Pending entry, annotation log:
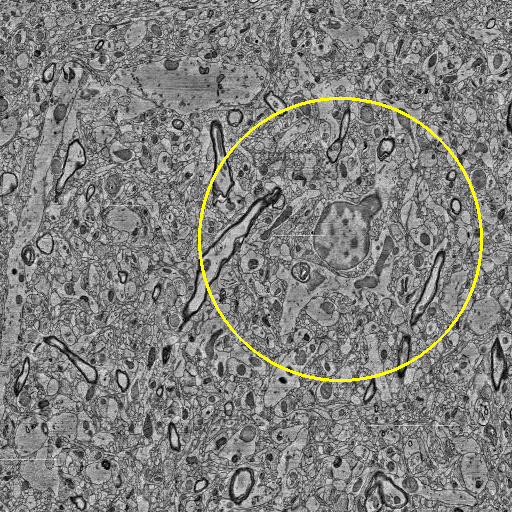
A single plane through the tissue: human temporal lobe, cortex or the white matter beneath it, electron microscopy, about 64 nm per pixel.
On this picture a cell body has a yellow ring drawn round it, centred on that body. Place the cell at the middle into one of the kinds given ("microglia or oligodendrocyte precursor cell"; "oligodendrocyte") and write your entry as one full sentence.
The cell body at the middle of the yellow ring belongs to a microglial cell or oligodendrocyte precursor cell.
